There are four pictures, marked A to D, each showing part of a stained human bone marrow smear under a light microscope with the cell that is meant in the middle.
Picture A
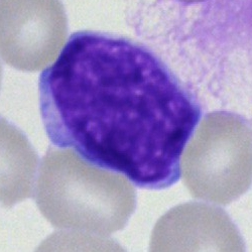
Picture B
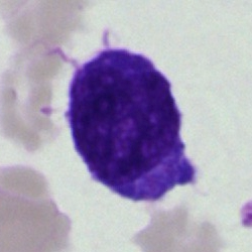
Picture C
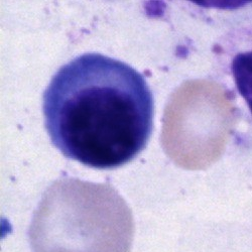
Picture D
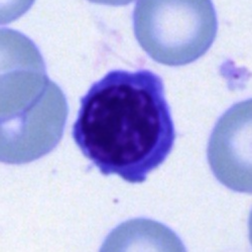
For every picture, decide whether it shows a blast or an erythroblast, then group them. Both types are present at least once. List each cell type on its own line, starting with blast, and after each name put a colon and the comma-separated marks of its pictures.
blast: A, B
erythroblast: C, D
